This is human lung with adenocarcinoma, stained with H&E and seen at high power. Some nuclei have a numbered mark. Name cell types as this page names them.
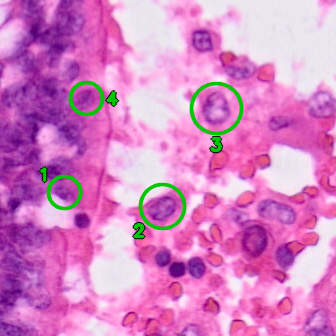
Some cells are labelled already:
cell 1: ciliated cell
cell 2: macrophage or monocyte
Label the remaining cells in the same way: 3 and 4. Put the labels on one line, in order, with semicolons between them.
macrophage or monocyte; ciliated cell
